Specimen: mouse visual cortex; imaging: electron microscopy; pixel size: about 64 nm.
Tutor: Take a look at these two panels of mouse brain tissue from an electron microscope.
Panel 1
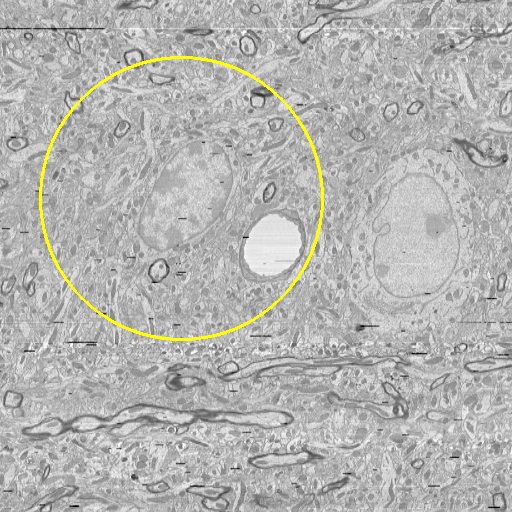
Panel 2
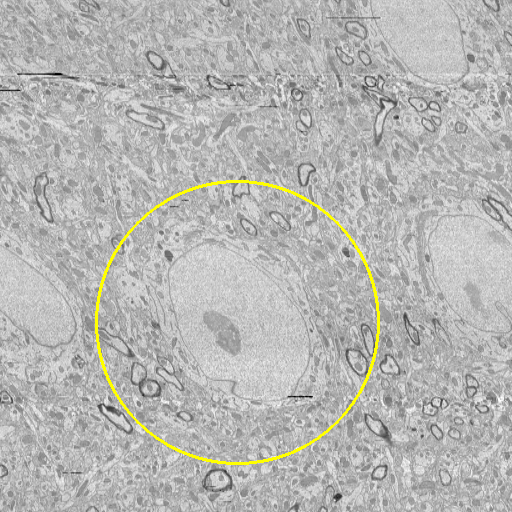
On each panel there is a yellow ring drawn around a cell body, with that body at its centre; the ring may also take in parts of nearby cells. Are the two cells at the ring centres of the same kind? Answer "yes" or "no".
no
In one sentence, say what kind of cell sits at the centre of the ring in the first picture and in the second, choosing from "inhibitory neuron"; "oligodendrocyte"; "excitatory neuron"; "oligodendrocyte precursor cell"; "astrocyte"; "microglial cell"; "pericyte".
The first picture's ringed cell is an oligodendrocyte, while the second picture's is an excitatory neuron.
